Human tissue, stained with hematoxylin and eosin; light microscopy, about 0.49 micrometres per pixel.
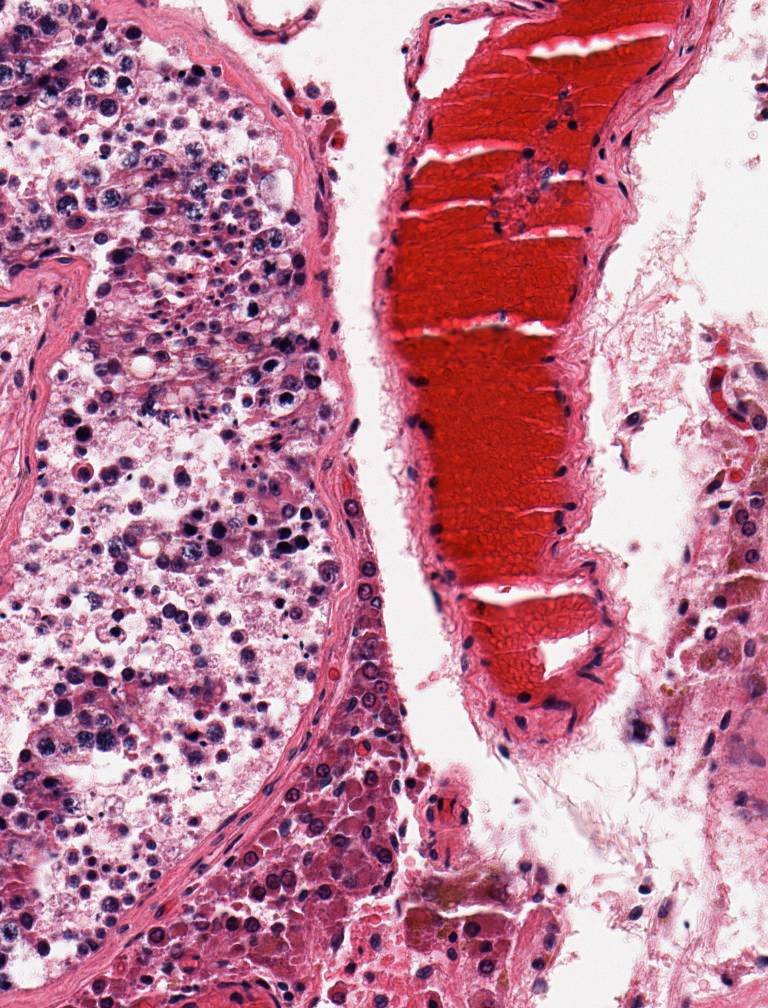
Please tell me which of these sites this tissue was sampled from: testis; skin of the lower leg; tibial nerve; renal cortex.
testis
